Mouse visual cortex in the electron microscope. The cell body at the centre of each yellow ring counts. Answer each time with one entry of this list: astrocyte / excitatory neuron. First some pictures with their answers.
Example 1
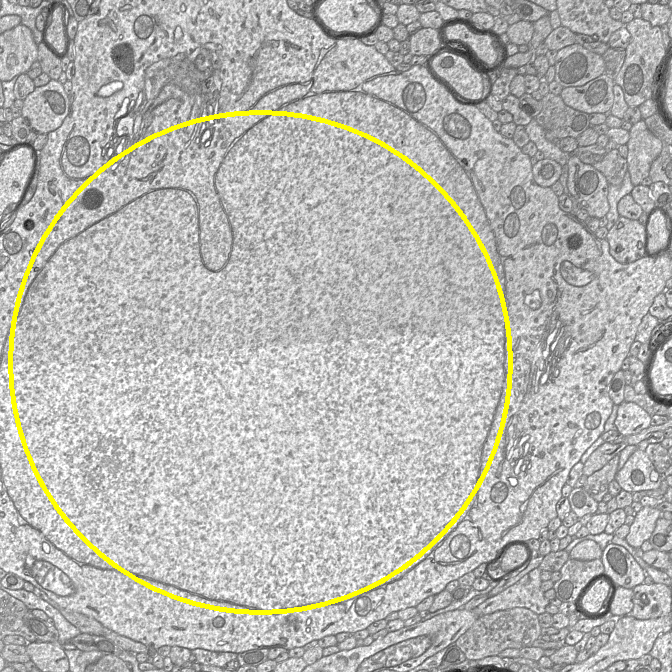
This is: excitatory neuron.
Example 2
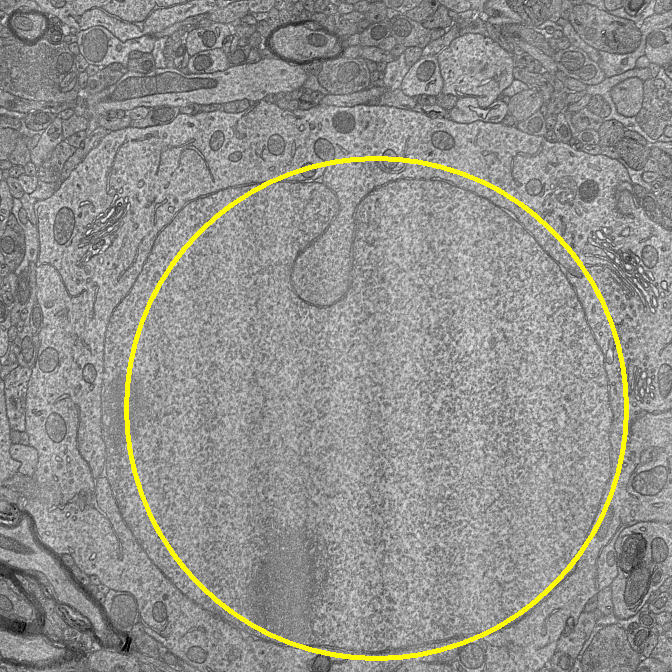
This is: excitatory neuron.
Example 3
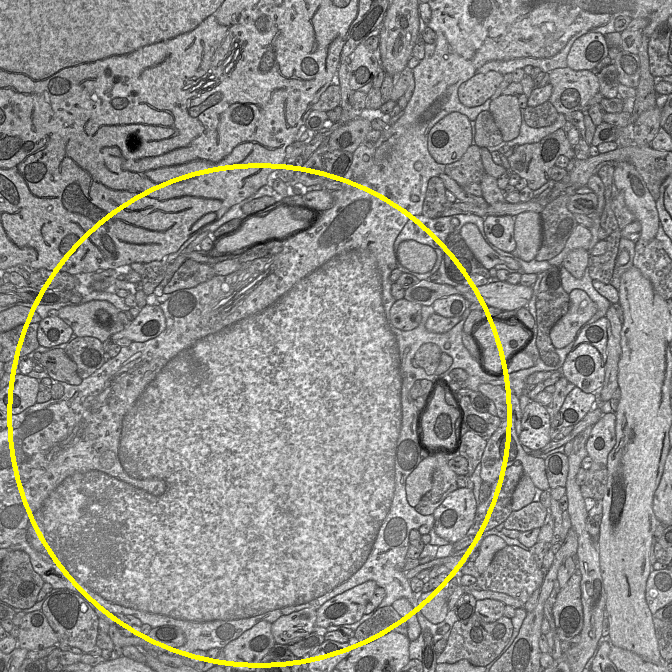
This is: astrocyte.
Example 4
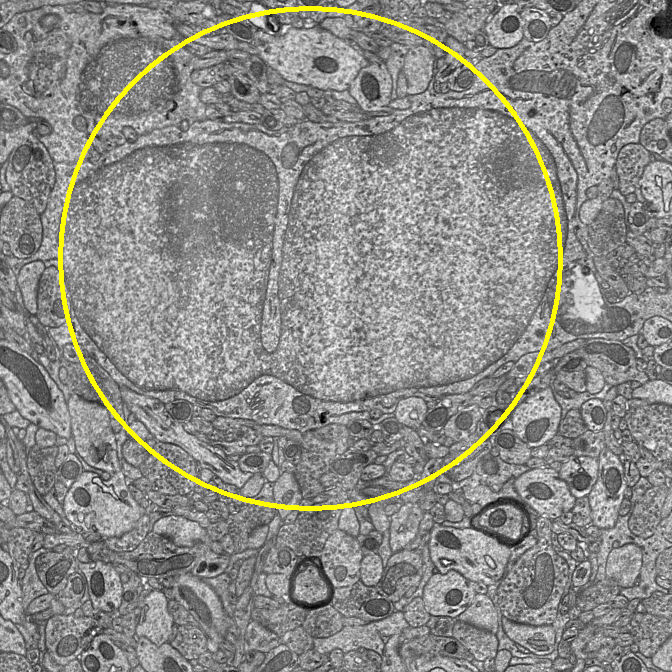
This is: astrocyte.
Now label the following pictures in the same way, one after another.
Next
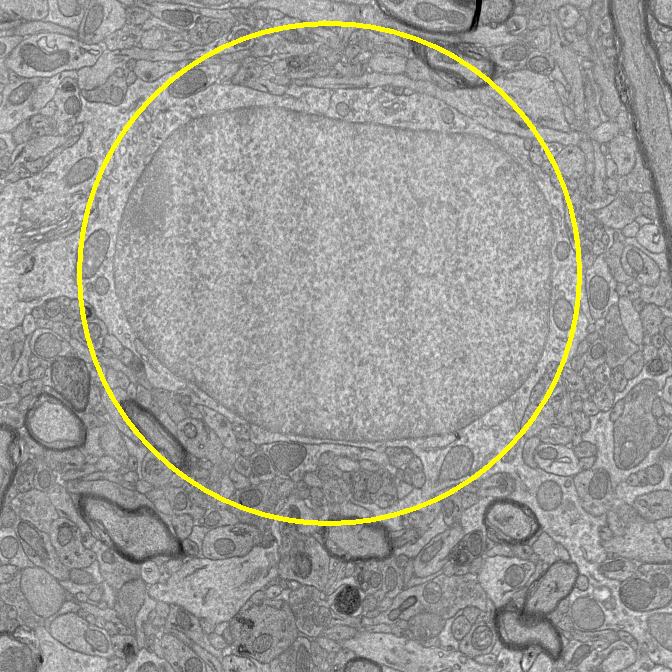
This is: astrocyte.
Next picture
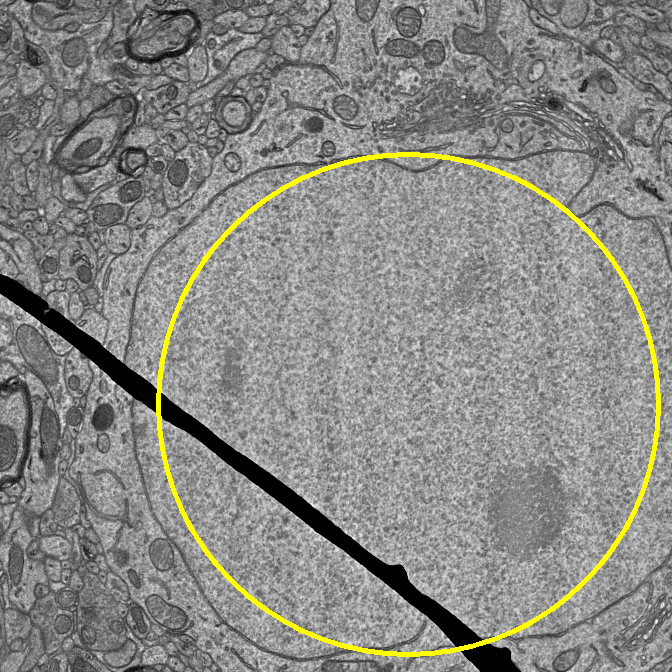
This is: excitatory neuron.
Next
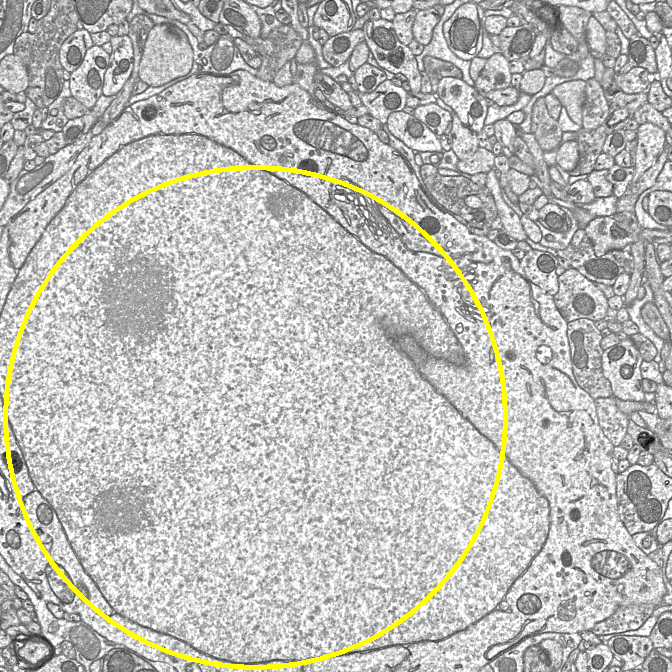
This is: excitatory neuron.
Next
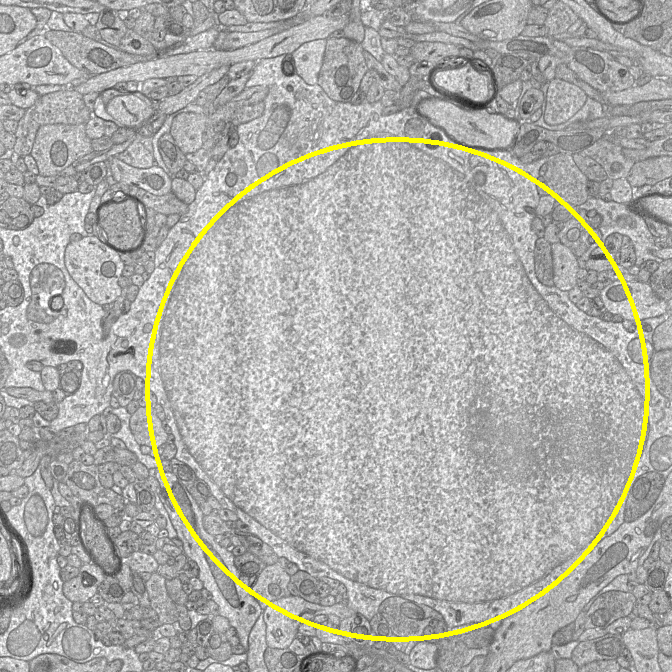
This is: astrocyte.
